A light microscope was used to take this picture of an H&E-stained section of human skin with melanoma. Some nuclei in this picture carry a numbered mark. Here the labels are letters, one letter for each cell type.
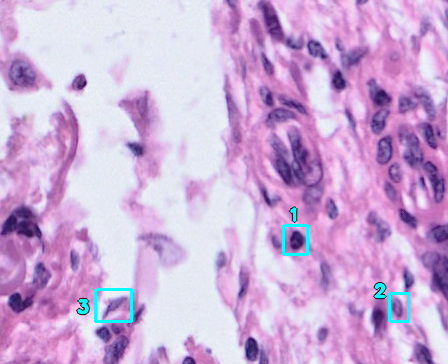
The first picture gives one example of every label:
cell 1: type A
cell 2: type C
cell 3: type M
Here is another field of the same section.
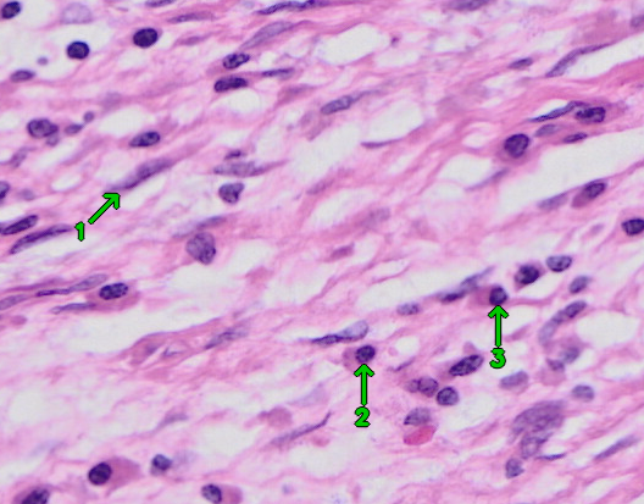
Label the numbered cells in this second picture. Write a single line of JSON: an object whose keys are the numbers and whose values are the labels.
{"1": "type M", "2": "type A", "3": "type A"}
